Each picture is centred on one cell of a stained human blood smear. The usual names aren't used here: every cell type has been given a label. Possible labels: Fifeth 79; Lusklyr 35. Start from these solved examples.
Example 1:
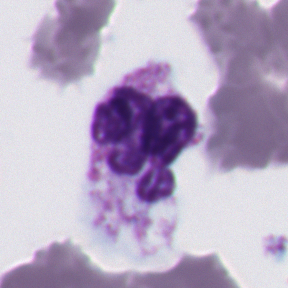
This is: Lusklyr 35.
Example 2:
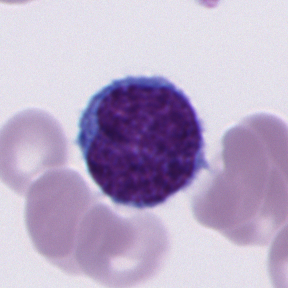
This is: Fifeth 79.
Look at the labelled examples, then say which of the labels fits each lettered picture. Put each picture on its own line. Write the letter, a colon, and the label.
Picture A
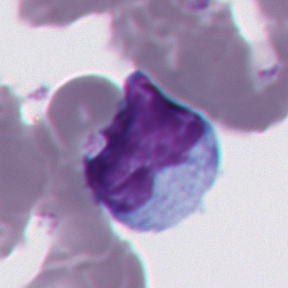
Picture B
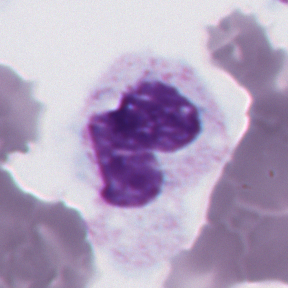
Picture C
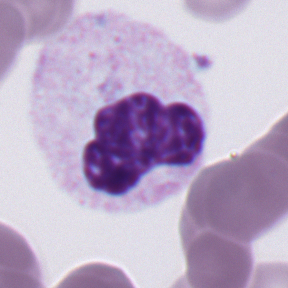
A: Fifeth 79.
B: Lusklyr 35.
C: Lusklyr 35.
